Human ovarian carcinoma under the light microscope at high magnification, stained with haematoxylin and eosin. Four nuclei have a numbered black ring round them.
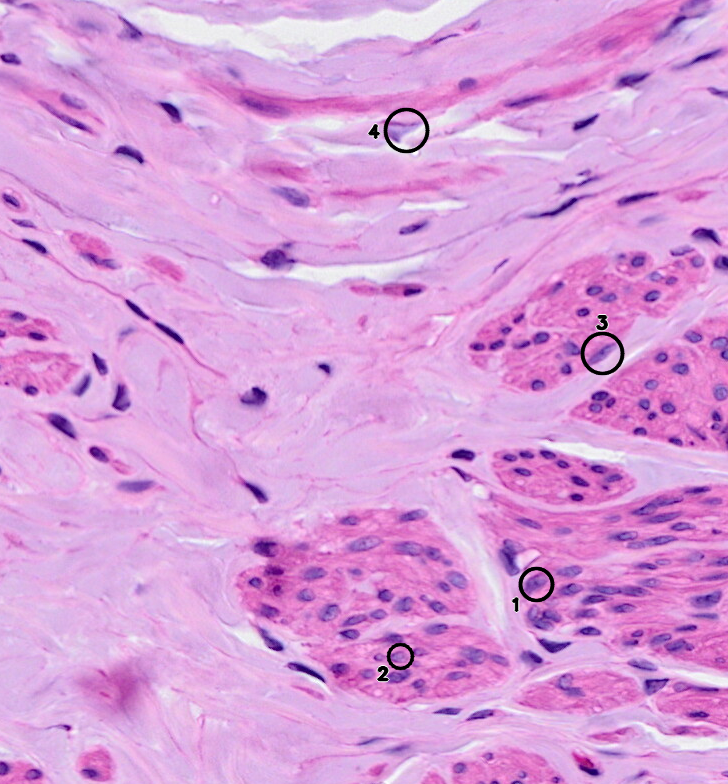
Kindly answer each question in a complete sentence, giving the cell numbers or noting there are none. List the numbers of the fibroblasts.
In this set of numbered cells, only cell 4 is a fibroblast.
